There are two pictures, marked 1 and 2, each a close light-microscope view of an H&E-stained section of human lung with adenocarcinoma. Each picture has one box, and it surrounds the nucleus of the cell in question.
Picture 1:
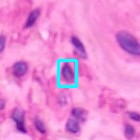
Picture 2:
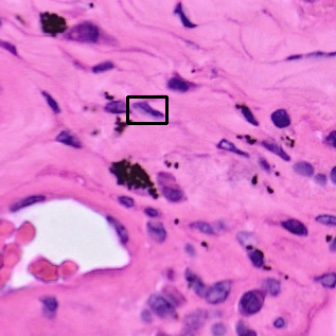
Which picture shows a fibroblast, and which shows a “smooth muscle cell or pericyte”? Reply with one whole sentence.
Picture 1 shows a “smooth muscle cell or pericyte” and picture 2 shows a fibroblast.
